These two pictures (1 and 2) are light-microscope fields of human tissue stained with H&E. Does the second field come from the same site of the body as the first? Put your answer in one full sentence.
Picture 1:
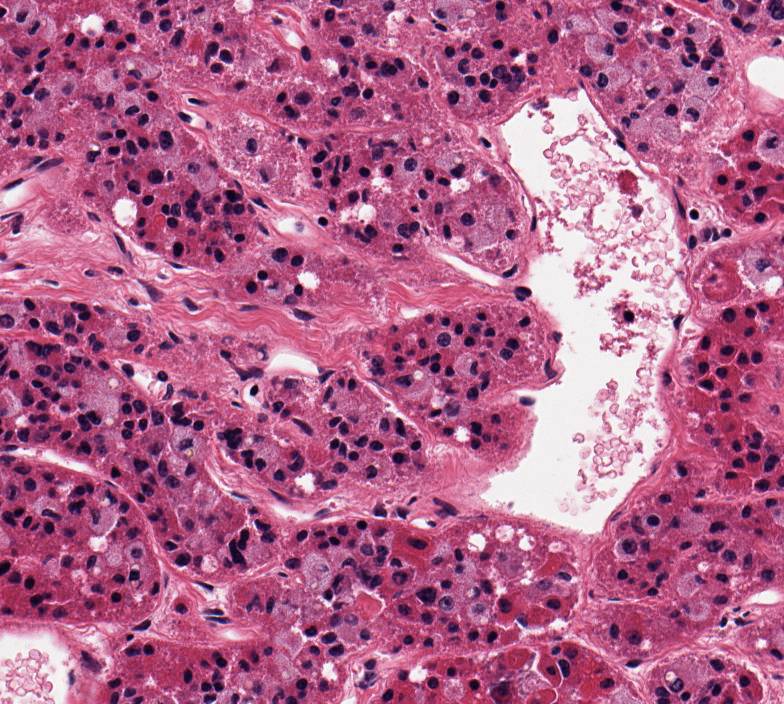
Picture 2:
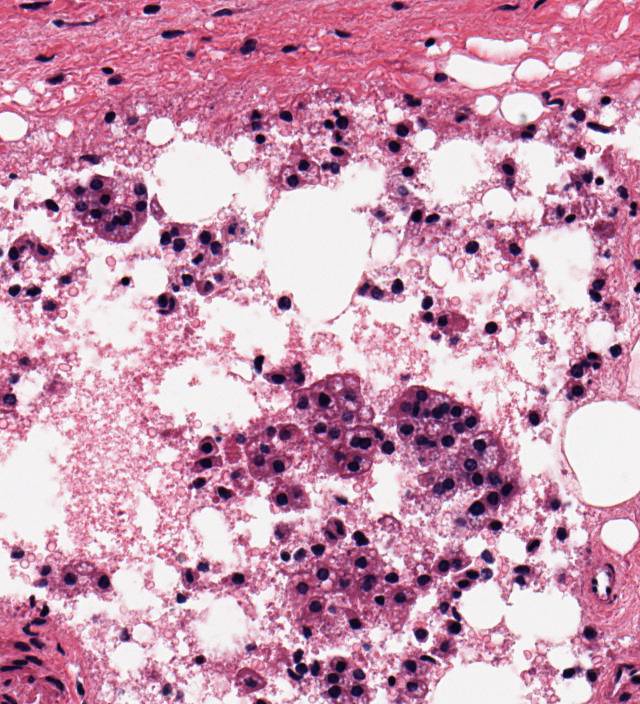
No, they differ: picture 1 comes from the pituitary, and picture 2 comes from the adrenal gland.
